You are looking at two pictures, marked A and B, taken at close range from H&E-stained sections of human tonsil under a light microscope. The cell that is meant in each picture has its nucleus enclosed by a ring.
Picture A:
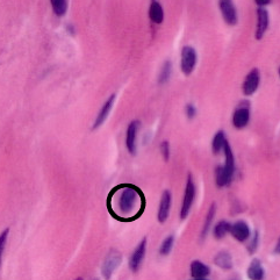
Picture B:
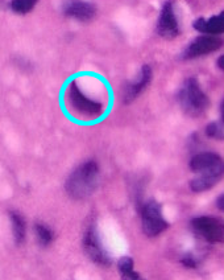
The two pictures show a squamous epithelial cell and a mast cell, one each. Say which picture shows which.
A: mast cell
B: squamous epithelial cell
